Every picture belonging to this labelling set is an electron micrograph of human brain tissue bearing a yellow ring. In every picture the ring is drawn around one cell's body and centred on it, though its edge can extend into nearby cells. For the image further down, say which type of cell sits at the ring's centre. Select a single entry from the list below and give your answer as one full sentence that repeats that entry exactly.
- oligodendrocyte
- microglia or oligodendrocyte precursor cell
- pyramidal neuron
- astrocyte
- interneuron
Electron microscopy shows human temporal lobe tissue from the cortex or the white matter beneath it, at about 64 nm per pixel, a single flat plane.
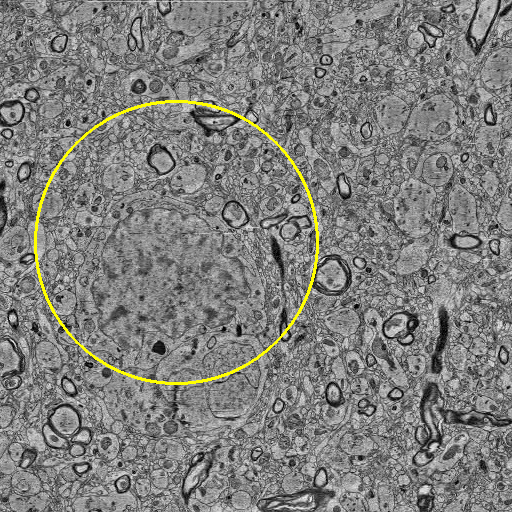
In the picture, an interneuron is the cell at the centre of the yellow ring.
